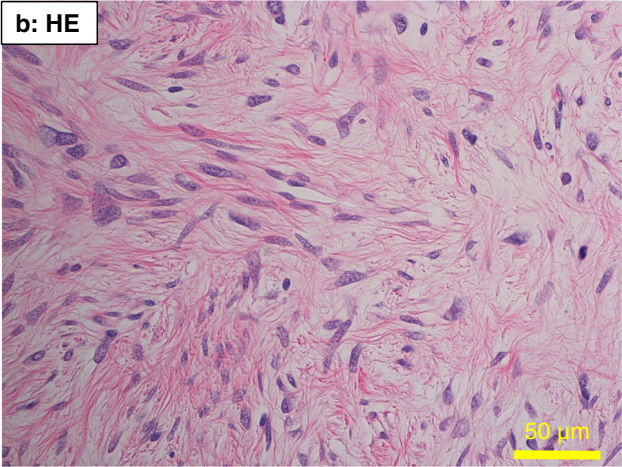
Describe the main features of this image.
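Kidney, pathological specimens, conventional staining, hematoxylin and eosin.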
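Tumor composed of spindle-shaped cells with elongated to oval purple nuclei and faint, tapering cytoplasm, set in a stroma of pink wavy collagen fibers. The cells are arranged loosely in varying directions, without mitotic figures or necrosis visible.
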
